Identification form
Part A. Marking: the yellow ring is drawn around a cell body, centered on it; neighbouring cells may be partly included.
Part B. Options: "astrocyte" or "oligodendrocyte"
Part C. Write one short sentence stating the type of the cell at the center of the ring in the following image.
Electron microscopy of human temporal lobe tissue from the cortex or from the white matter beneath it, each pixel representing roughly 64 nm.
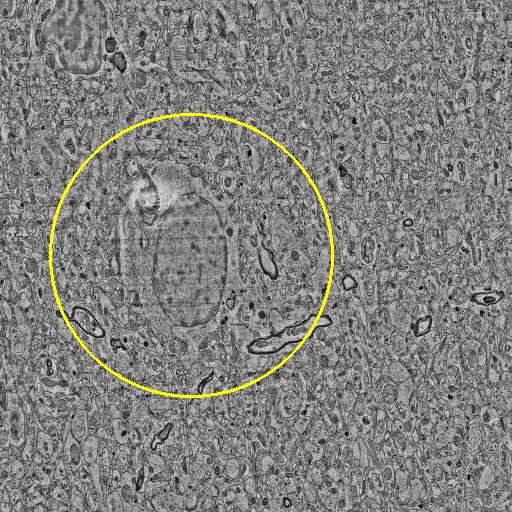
The center of the ring holds an astrocyte.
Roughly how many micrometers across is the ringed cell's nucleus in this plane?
Roughly 8 by 5 micrometres; in this plane, clearly longer than it is wide.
